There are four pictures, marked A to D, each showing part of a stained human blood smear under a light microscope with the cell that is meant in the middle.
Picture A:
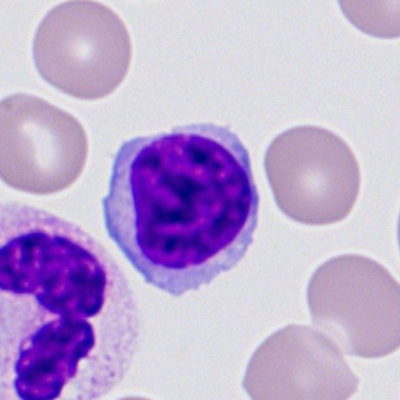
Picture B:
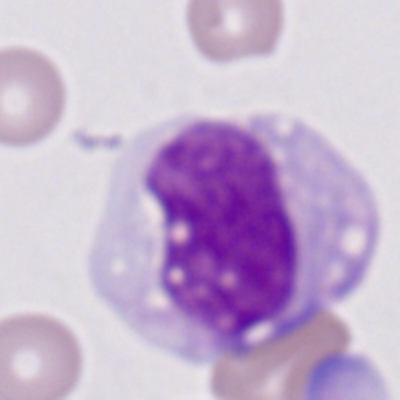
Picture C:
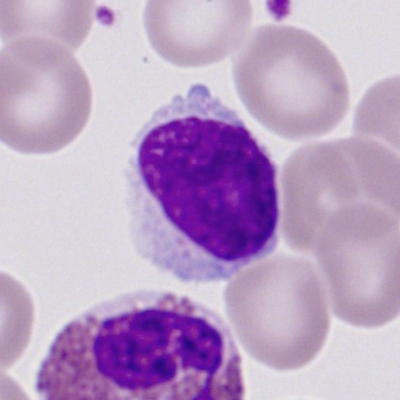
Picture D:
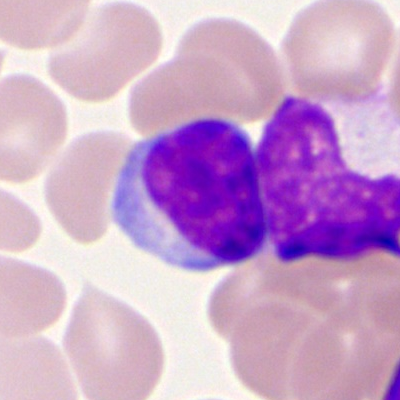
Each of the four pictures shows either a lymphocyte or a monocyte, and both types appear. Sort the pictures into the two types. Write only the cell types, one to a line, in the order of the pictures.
lymphocyte
monocyte
lymphocyte
lymphocyte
